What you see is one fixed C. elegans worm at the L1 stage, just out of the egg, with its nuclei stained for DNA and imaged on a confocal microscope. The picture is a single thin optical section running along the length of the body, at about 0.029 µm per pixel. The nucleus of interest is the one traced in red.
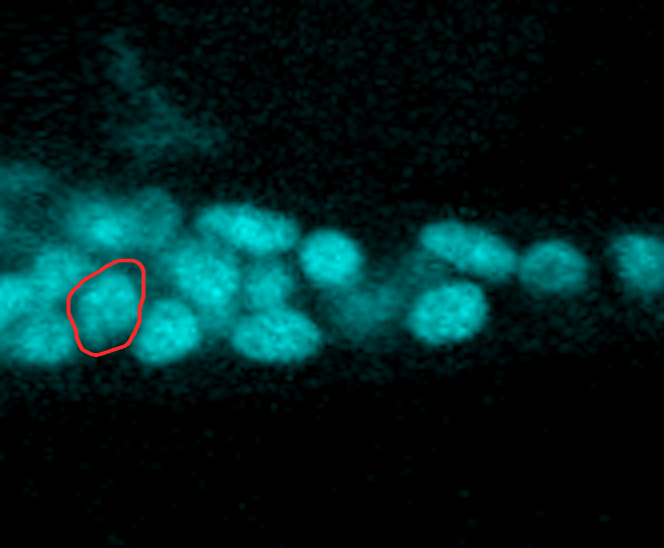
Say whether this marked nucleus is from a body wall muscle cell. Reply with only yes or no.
no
